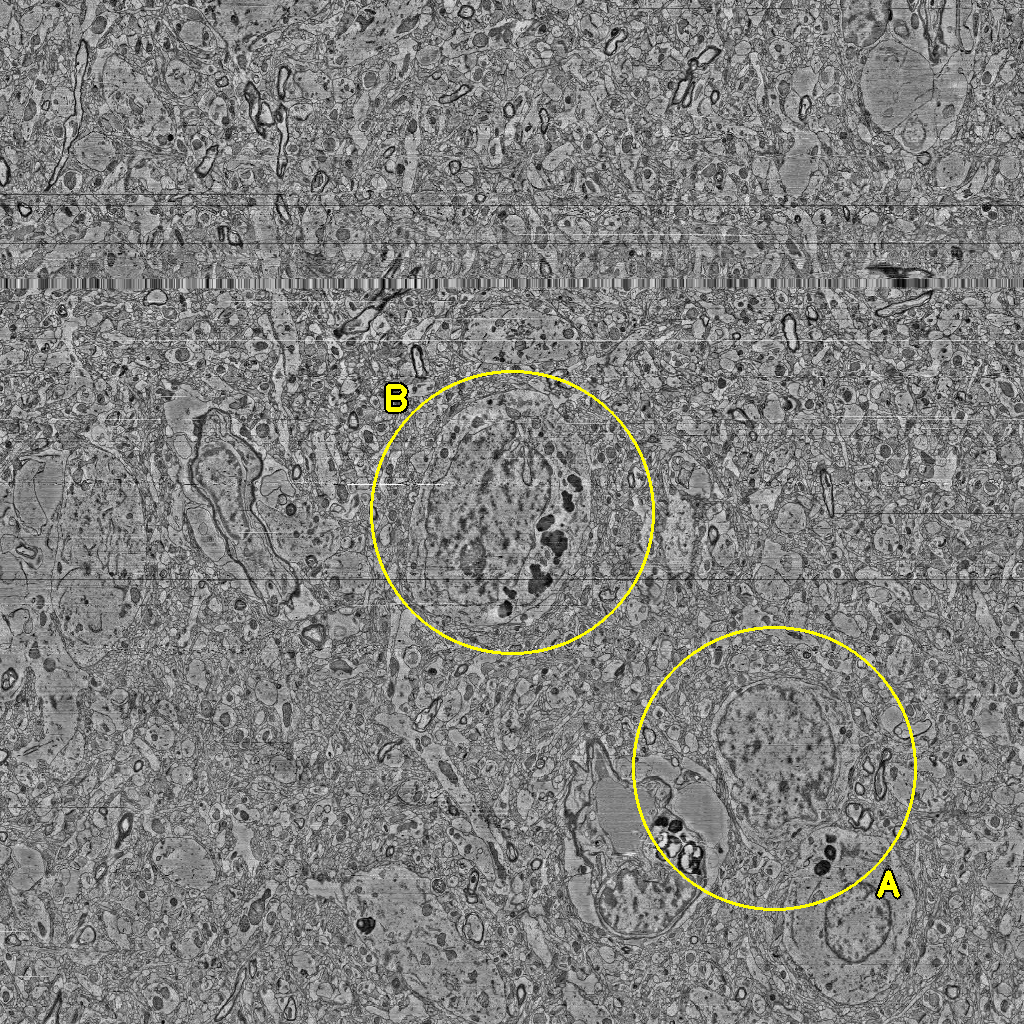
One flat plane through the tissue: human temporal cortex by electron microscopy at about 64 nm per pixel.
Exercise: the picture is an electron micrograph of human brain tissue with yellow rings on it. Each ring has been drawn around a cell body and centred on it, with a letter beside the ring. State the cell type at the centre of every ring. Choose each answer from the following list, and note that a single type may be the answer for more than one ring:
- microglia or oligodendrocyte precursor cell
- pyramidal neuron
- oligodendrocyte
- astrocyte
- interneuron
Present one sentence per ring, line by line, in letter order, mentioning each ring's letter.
Ring A shows an interneuron at its centre.
Ring B shows an interneuron at its centre.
